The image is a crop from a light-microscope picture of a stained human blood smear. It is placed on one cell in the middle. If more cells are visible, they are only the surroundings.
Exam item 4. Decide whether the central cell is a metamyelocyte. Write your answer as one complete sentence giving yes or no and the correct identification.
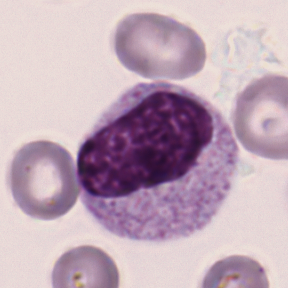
Yes, the cell occupying the middle of the crop is a metamyelocyte.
